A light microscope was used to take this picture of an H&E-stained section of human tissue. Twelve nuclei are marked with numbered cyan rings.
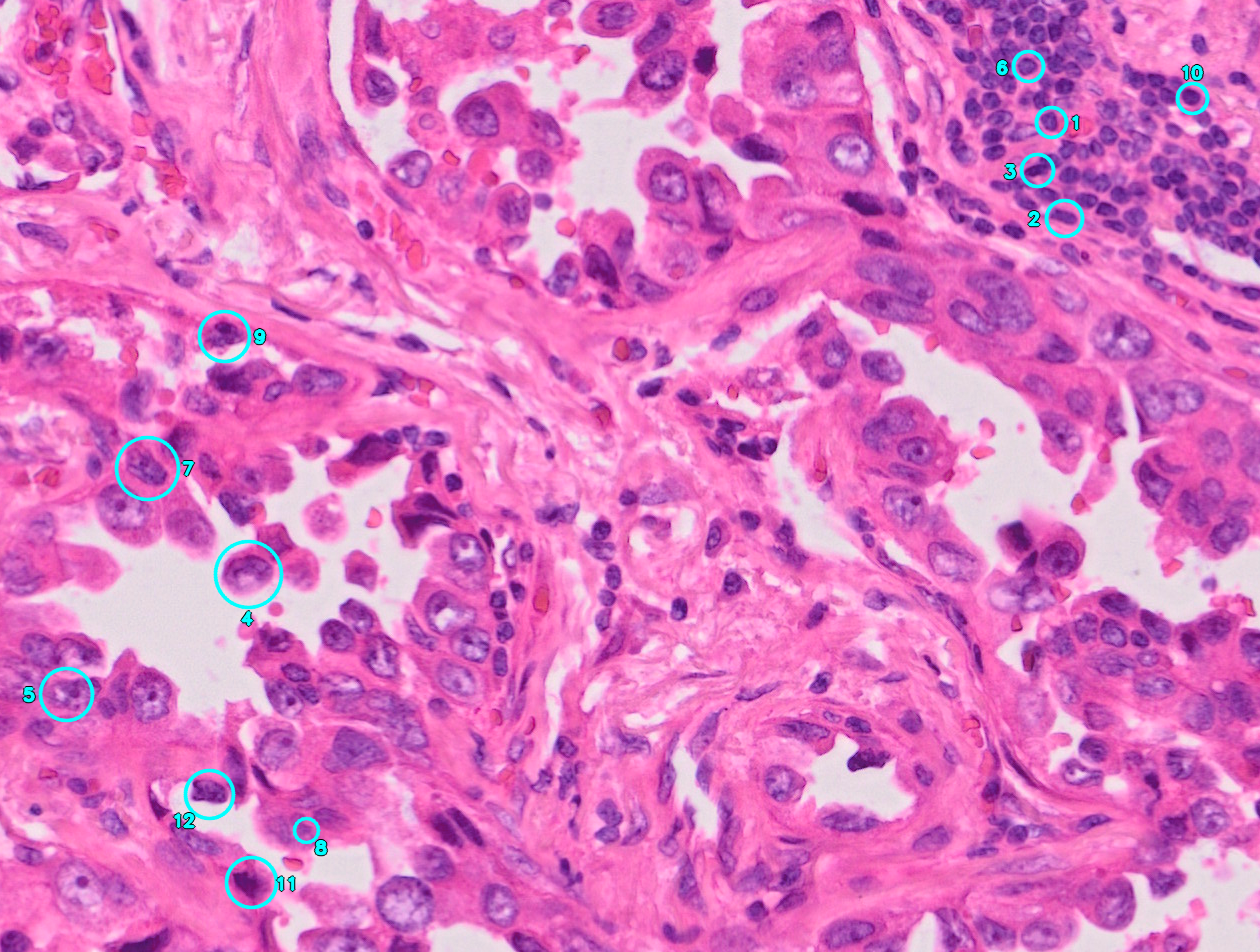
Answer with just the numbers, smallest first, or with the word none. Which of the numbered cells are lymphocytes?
1, 2, 3, 6, 10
